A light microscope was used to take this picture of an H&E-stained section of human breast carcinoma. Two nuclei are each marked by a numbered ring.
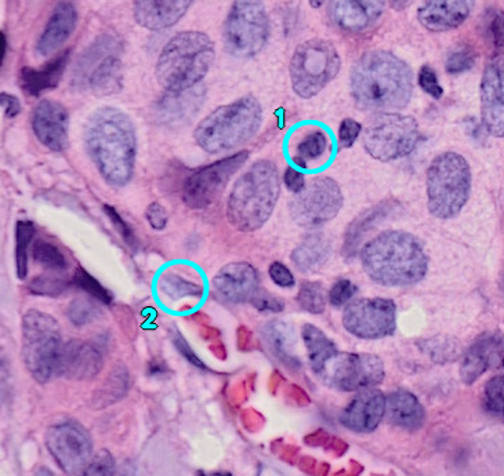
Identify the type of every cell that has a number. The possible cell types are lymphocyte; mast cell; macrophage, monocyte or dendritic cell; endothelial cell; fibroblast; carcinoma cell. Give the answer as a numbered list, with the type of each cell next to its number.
1. lymphocyte
2. endothelial cell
